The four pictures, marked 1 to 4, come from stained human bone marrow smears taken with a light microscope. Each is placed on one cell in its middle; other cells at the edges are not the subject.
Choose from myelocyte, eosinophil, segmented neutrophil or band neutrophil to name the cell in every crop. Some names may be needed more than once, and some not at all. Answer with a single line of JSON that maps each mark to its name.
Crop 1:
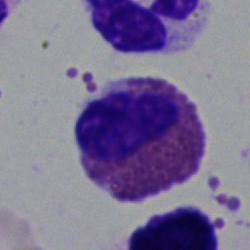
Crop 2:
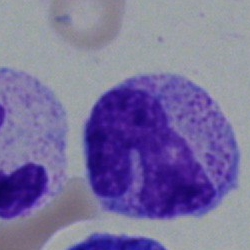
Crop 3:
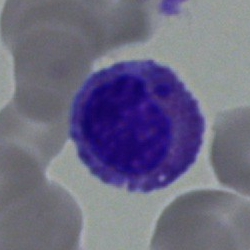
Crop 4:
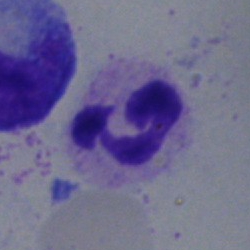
{"1": "eosinophil", "2": "band neutrophil", "3": "eosinophil", "4": "segmented neutrophil"}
